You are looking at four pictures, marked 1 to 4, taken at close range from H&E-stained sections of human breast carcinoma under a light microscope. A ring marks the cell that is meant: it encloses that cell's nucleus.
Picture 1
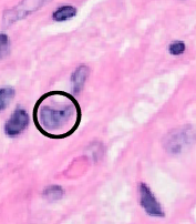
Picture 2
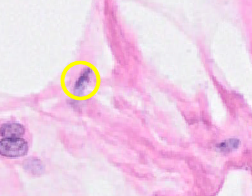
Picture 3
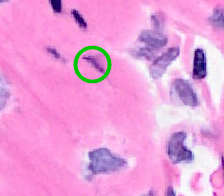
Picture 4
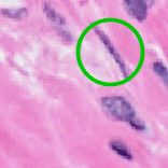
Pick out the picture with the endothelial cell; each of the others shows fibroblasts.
1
